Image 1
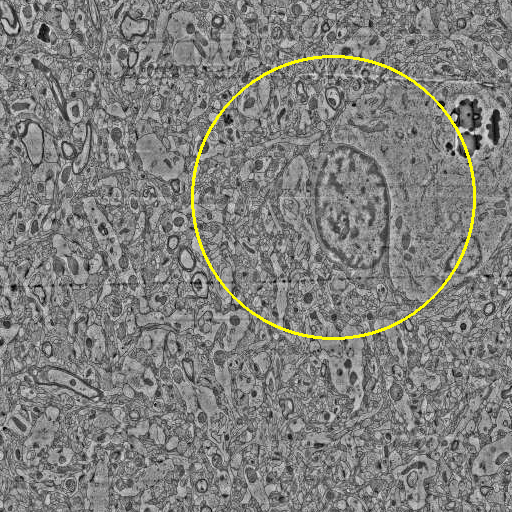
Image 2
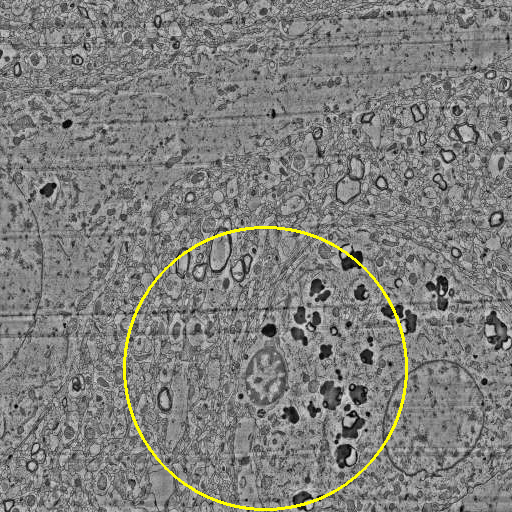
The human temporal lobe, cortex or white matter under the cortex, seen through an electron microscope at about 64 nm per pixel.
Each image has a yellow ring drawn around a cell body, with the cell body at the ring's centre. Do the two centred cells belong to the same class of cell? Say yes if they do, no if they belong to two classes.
yes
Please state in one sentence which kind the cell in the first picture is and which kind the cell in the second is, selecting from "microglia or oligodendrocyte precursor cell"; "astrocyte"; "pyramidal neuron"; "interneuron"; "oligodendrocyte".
In each picture the ringed cell is an oligodendrocyte.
